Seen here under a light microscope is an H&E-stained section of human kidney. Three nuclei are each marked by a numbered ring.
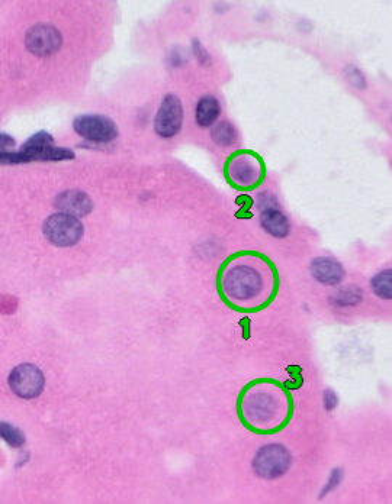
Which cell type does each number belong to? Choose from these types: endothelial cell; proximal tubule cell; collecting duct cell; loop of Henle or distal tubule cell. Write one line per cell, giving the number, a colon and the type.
1: proximal tubule cell
2: collecting duct cell
3: proximal tubule cell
